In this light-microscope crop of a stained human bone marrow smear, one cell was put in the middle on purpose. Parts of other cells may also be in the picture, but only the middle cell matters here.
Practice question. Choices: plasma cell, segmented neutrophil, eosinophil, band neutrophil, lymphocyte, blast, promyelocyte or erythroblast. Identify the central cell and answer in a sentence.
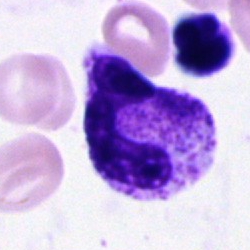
The cell in the middle of this crop is a segmented neutrophil.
